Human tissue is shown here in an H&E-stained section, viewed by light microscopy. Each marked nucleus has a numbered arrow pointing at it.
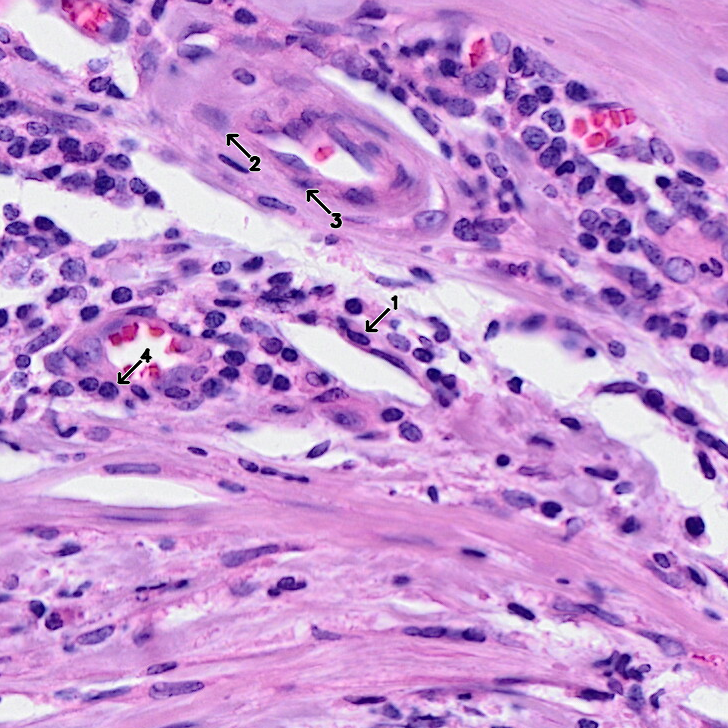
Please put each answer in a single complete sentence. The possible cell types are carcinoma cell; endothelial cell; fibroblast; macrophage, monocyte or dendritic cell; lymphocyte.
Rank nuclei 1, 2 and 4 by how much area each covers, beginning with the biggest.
Going from the biggest nucleus down to the smallest gives 2, 4, 1.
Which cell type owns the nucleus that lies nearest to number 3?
It is an endothelial cell whose nucleus is nearest to number 3.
